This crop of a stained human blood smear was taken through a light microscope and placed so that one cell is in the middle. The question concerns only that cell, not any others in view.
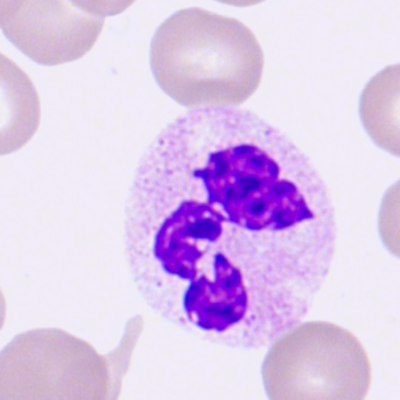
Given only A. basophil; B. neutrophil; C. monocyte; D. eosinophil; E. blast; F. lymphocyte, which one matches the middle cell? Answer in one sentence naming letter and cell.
The correct response is option B, naming the cell in the middle as a neutrophil.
